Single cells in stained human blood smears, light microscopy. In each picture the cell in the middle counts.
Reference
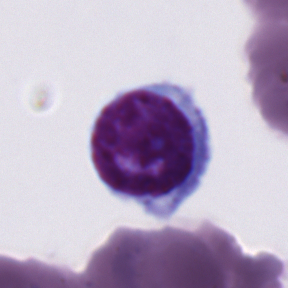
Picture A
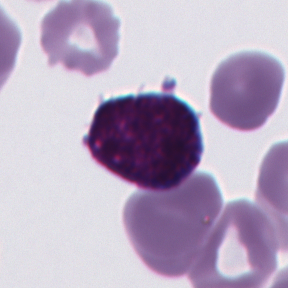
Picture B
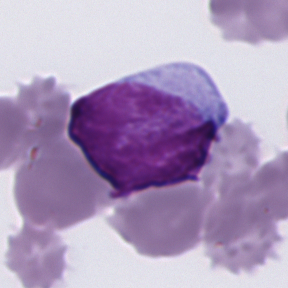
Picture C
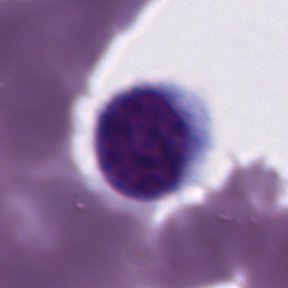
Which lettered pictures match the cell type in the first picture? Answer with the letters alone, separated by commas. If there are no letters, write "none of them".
C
